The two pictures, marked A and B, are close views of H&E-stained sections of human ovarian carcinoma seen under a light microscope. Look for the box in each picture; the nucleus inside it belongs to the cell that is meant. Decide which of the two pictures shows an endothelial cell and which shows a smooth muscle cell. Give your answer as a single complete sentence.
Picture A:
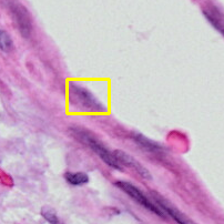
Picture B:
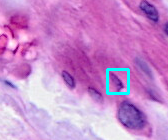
It is picture A that shows an endothelial cell, and picture B that shows a smooth muscle cell.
